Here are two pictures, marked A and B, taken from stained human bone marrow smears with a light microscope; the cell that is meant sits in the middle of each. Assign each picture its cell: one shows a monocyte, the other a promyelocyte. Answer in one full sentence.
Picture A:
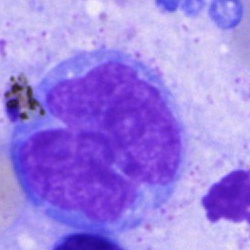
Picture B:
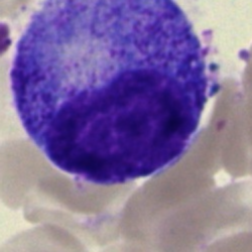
Picture B shows a promyelocyte, while picture A shows a monocyte.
